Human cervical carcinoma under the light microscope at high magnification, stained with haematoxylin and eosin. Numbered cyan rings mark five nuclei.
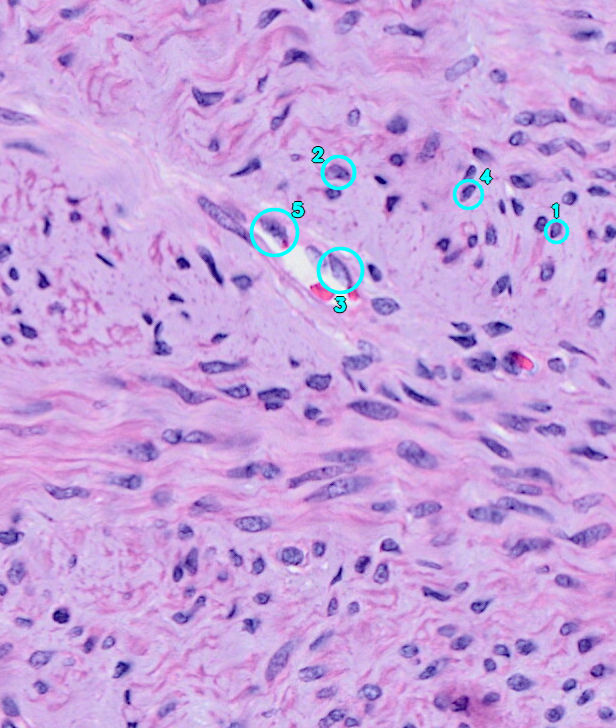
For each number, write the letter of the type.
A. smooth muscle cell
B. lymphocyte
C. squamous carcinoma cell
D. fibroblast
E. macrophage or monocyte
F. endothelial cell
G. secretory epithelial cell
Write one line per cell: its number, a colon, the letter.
1: A
2: A
3: F
4: D
5: F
